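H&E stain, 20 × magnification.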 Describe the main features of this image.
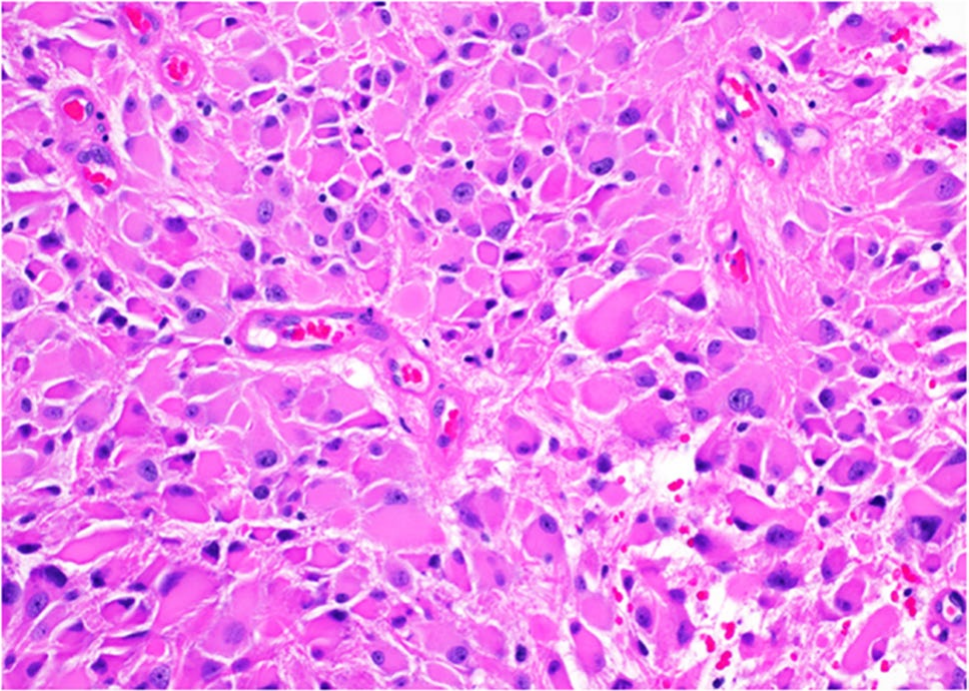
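This is a tumor made of large cells with abundant pink, glassy cytoplasm, packed in sheets. Many of the cells are plump and polygonal, and some are elongated, with sharp cell borders. Their nuclei are round to oval and often lie off-centre, pushed toward one edge of the broad cytoplasm. Scattered among them are smaller cells with small dark nuclei. Thin-walled small vessels filled with red blood cells run through the tumor, and a pale pink fibrillary background separates the large cells.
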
